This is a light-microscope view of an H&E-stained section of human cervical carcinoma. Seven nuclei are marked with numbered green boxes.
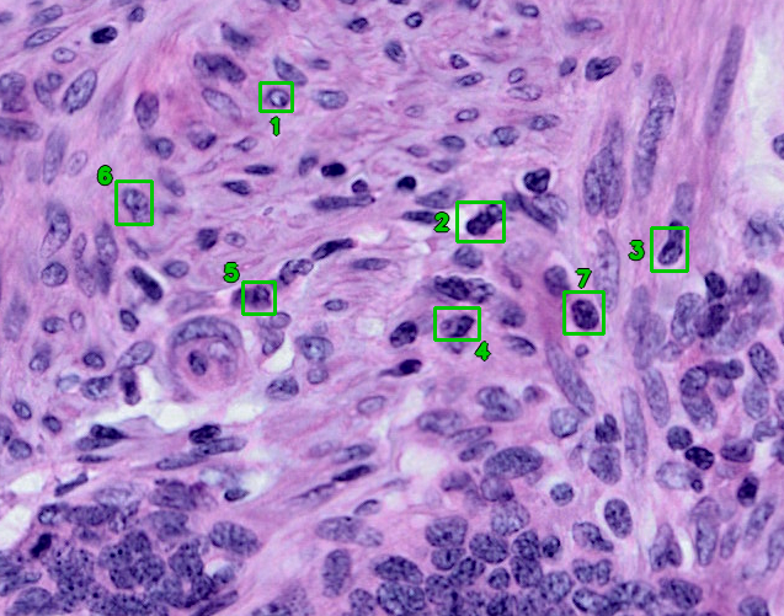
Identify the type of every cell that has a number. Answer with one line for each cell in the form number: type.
1: smooth muscle cell
2: lymphocyte
3: lymphocyte
4: lymphocyte
5: macrophage or monocyte
6: smooth muscle cell
7: lymphocyte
